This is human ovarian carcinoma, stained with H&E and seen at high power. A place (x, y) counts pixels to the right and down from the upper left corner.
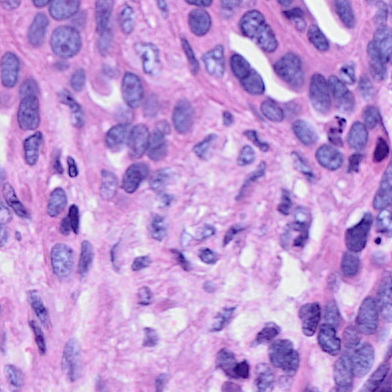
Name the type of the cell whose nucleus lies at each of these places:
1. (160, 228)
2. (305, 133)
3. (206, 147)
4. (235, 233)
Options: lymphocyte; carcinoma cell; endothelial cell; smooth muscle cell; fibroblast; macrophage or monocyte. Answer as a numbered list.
1. fibroblast
2. carcinoma cell
3. fibroblast
4. fibroblast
